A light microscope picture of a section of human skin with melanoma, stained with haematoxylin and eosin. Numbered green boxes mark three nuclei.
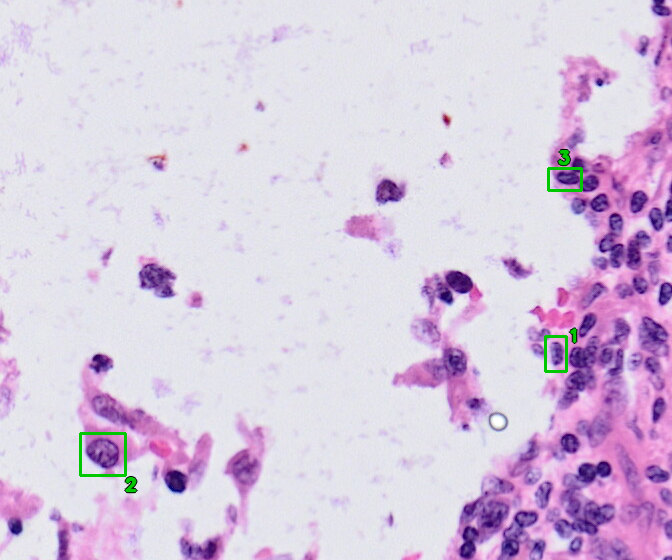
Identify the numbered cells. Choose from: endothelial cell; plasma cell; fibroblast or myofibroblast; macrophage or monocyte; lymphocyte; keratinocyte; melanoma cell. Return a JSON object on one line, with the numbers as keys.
{"1": "lymphocyte", "2": "melanoma cell", "3": "lymphocyte"}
